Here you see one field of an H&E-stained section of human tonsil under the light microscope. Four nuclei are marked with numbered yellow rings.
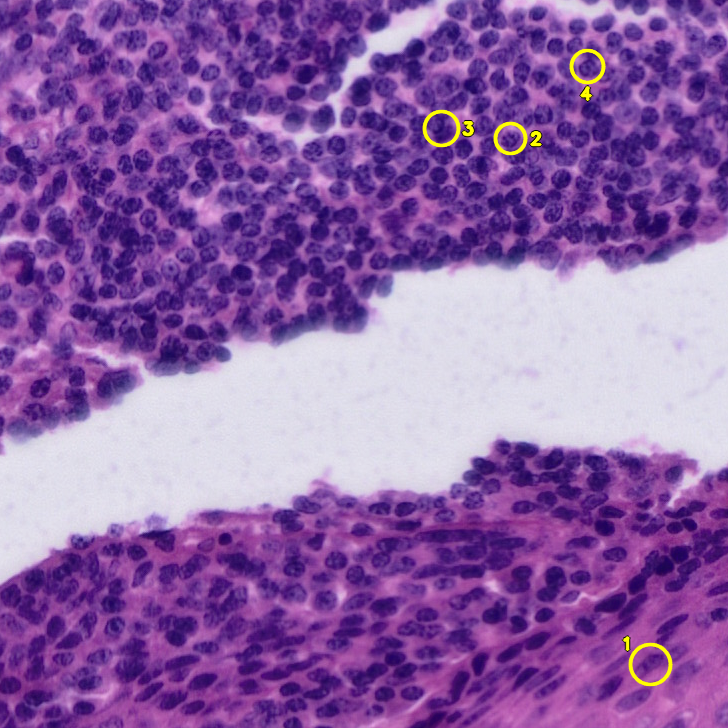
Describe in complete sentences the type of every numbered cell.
Cell 1 is a squamous epithelial cell. Cells 2, 3 and 4 are small lymphocytes.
